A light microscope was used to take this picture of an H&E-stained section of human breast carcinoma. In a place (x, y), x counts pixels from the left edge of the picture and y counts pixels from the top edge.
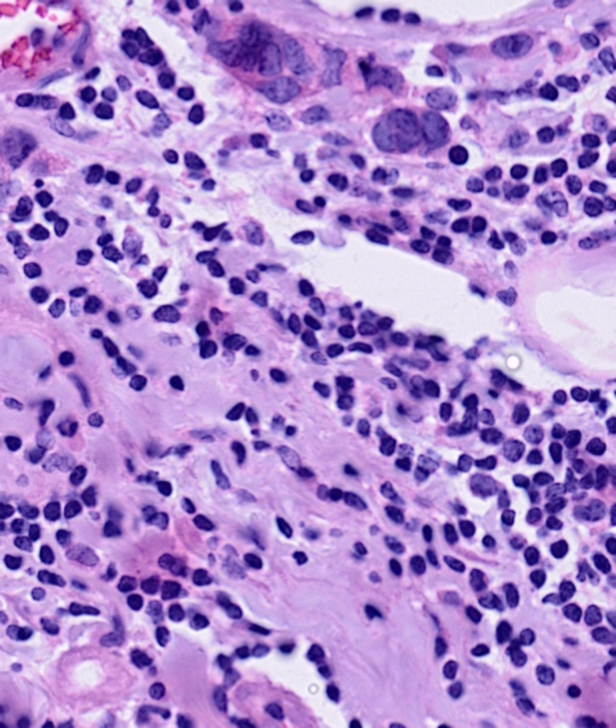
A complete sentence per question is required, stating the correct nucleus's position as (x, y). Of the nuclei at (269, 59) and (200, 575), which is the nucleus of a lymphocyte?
As for which of the two, the nucleus at (200, 575) belongs to a lymphocyte.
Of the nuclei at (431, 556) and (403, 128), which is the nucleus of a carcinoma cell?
Housed in a carcinoma cell is the nucleus at (403, 128), not the other one.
